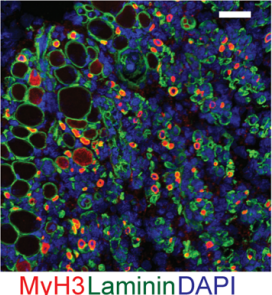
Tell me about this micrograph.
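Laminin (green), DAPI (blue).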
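Skeletal muscle in cross section showing numerous small regenerating myofibers, many filled with red and each outlined by a green ring, set among densely packed blue nuclei. At the upper left lie larger fibers with dark interiors, also rimmed in green, a few of them with red fill. The small red profiles are round and much smaller than these larger fibers. Blue nuclei crowd the spaces between fibers across much of the field.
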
